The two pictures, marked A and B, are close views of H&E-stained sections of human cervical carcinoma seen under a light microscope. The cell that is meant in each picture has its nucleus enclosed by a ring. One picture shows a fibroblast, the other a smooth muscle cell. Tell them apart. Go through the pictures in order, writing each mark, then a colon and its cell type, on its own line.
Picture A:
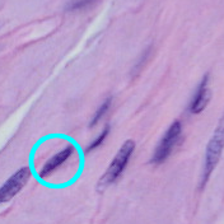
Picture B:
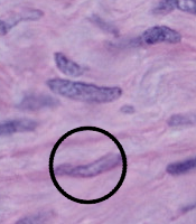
A: fibroblast
B: smooth muscle cell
